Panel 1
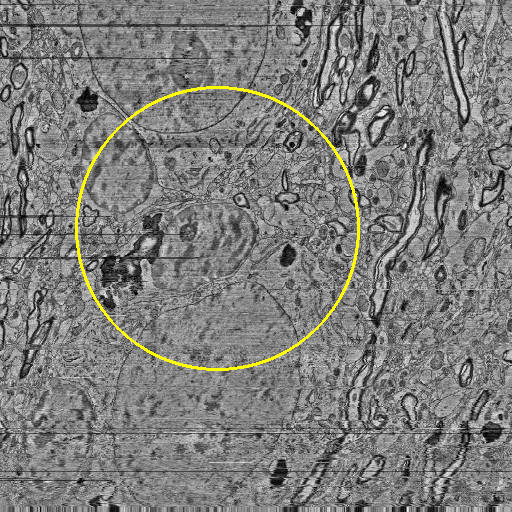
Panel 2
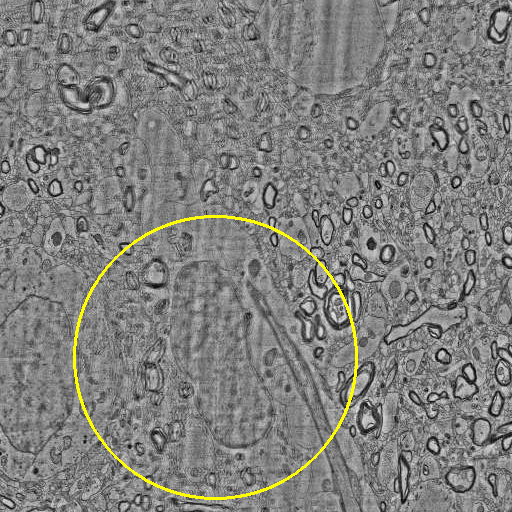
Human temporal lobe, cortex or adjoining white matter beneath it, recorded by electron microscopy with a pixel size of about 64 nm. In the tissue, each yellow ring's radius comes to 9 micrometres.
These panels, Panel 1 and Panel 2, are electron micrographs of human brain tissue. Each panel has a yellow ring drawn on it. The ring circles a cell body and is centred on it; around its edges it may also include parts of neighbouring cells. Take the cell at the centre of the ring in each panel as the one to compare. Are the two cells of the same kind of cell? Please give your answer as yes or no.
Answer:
no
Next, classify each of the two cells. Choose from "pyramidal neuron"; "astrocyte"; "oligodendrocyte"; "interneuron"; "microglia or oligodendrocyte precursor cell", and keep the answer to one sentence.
In the first picture it is an oligodendrocyte; in the second it is a microglial cell or oligodendrocyte precursor cell.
